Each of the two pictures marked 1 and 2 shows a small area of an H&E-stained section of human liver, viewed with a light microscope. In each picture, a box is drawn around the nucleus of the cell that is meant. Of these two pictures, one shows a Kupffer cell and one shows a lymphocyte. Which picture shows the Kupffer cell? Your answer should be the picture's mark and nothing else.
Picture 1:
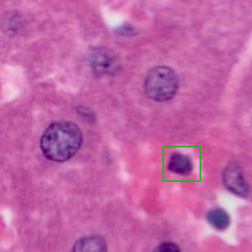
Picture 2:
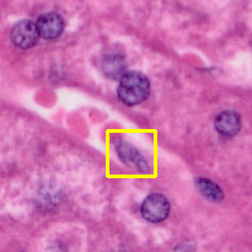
2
